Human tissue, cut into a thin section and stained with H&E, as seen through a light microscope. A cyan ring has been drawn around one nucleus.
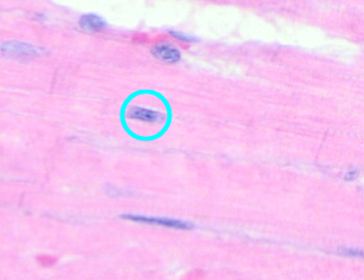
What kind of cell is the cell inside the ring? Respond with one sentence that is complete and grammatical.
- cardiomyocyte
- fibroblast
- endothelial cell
Recorded by type, the cell inside the ring is an endothelial cell.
